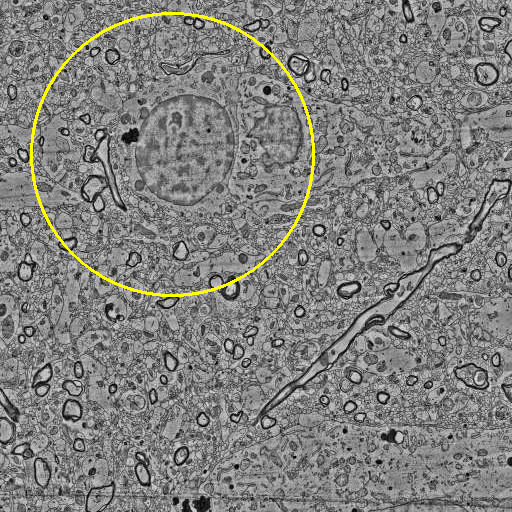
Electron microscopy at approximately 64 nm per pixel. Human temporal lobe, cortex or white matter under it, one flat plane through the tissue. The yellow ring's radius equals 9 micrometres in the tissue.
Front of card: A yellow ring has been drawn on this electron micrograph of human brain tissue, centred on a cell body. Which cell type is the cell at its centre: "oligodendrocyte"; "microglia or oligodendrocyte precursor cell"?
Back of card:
oligodendrocyte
